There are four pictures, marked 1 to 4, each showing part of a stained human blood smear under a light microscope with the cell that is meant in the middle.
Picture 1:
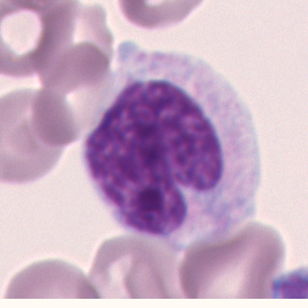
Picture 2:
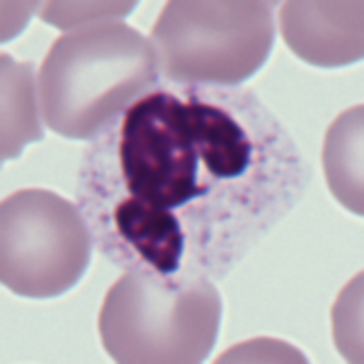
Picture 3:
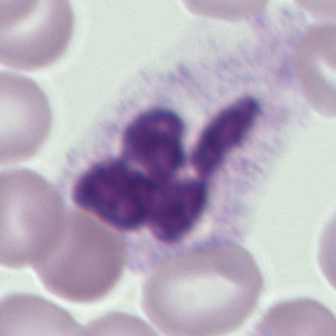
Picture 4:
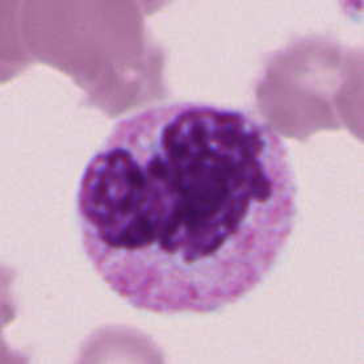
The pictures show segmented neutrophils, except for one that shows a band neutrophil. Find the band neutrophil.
1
